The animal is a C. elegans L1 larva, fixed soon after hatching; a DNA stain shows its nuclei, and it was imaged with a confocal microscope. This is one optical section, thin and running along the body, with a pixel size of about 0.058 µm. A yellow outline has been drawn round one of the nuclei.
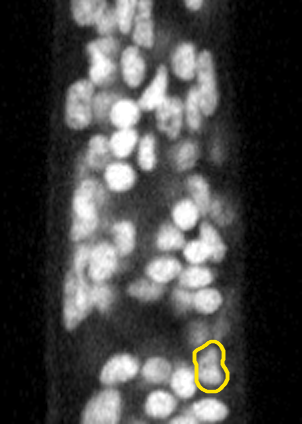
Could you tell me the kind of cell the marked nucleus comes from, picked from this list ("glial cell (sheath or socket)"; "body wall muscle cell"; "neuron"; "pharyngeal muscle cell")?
body wall muscle cell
